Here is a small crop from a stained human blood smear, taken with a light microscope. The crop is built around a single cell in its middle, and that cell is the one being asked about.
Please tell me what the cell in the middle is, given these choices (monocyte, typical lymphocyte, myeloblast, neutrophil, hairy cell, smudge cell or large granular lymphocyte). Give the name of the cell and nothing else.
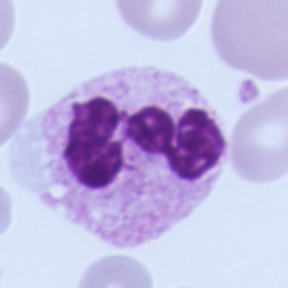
neutrophil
